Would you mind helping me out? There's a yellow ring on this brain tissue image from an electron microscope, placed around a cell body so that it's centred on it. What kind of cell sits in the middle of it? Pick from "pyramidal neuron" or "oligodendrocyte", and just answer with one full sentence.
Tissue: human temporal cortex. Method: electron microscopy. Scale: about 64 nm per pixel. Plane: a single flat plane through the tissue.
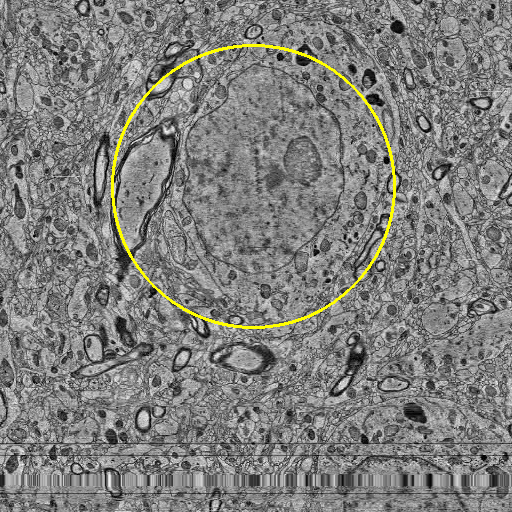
What sits in the middle of that yellow ring is a pyramidal neuron, from your choices.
